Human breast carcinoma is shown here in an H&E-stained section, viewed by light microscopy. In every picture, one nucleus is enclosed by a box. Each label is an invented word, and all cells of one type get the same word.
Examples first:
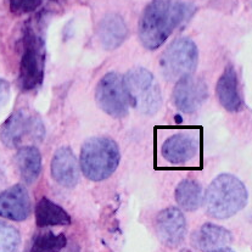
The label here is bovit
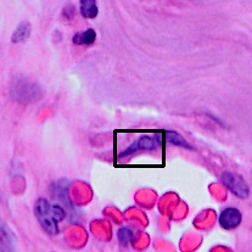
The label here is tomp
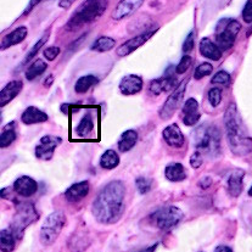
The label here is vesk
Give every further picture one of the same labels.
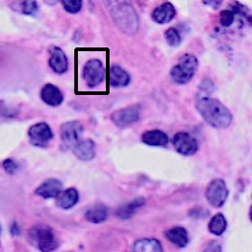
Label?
vesk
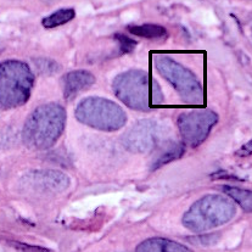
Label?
bovit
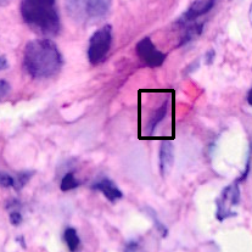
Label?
tomp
